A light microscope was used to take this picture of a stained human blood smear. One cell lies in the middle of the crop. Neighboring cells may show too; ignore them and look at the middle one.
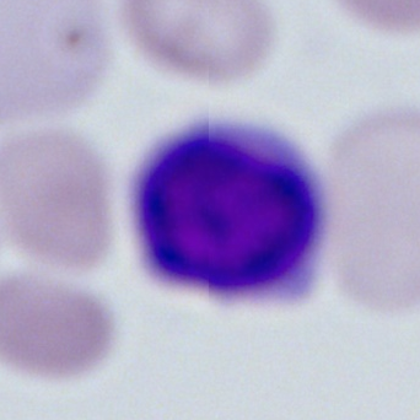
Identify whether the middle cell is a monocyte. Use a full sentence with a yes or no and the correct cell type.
No, the cell at the center of this crop is a lymphocyte instead of a monocyte.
